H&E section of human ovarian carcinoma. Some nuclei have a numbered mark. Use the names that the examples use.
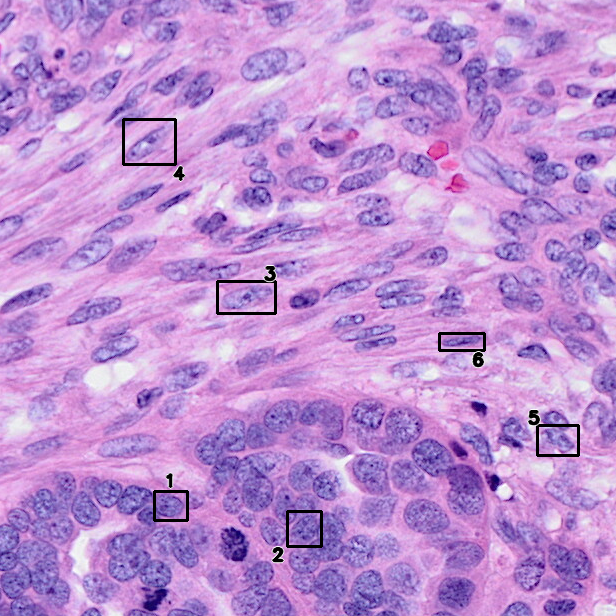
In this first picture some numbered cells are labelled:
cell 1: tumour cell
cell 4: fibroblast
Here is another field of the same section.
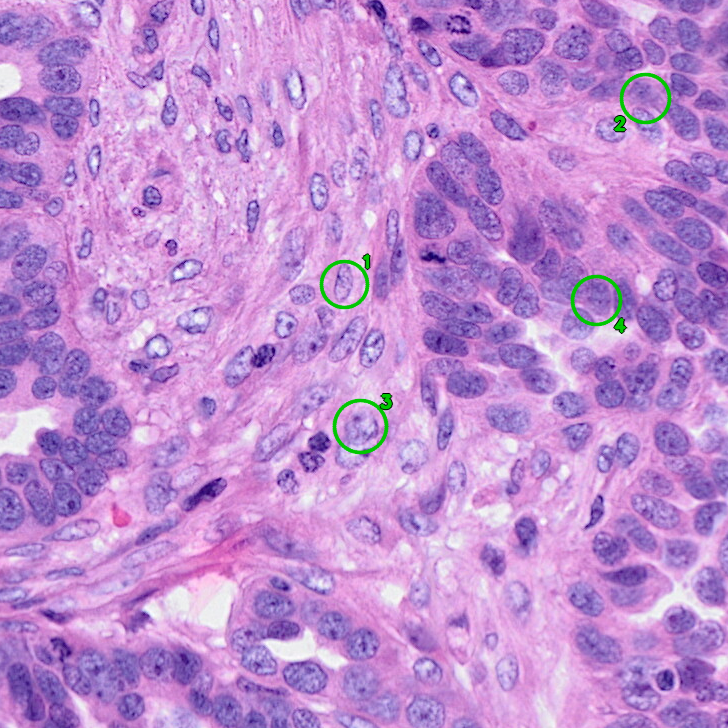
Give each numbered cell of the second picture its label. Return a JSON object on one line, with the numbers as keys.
{"1": "fibroblast", "2": "tumour cell", "3": "fibroblast", "4": "tumour cell"}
